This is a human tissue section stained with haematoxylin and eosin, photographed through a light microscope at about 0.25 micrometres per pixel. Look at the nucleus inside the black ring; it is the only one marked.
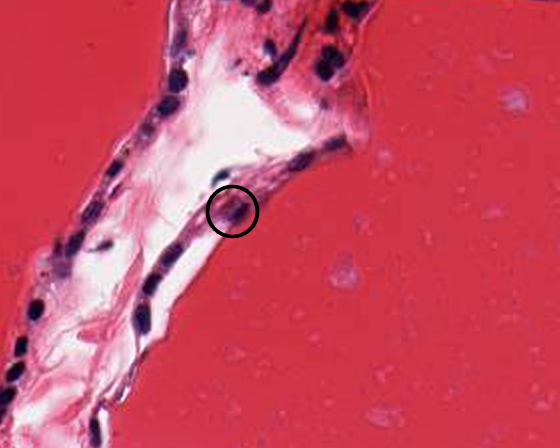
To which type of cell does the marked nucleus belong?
thyroid follicular cell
